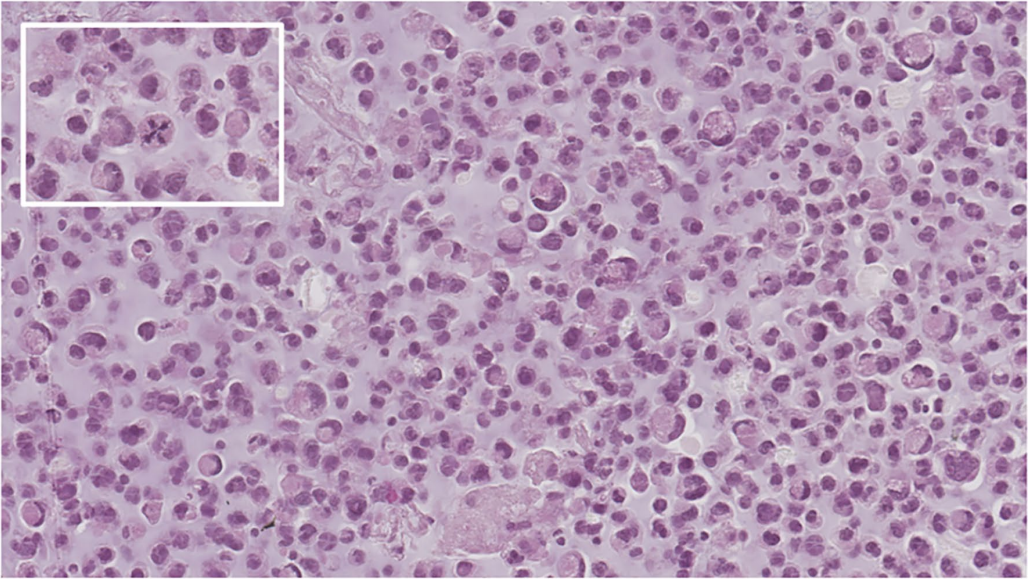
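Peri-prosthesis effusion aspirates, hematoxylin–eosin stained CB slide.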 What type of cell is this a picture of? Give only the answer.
Medium to large-sized discohesive atypical cells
